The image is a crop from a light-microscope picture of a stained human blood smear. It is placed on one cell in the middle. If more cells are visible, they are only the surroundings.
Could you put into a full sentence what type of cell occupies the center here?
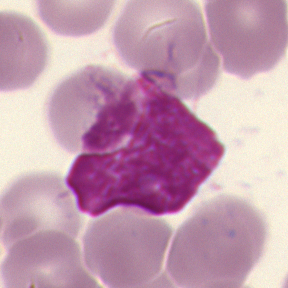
In the middle of this smear crop is a smudge cell.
